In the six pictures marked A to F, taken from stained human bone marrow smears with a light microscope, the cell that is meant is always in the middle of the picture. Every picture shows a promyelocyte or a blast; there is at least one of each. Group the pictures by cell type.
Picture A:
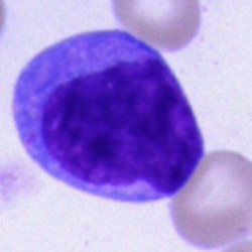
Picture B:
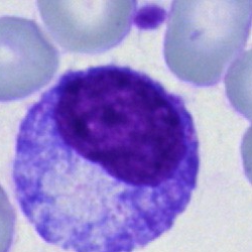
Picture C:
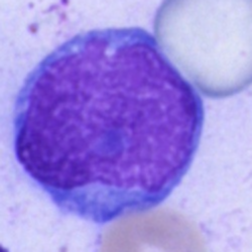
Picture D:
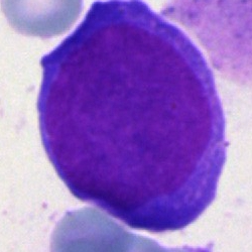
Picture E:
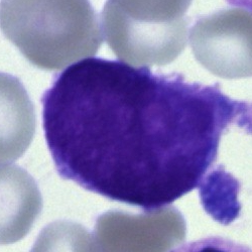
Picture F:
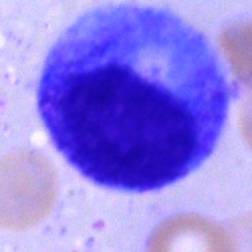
A: blast
B: promyelocyte
C: blast
D: blast
E: blast
F: promyelocyte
